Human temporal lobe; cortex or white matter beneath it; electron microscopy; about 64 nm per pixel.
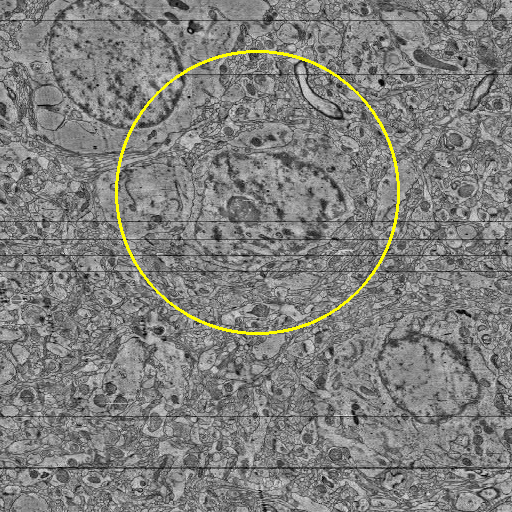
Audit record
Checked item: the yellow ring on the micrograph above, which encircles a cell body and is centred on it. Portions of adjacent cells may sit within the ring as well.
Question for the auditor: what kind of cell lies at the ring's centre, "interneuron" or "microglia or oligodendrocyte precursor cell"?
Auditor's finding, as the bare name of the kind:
interneuron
